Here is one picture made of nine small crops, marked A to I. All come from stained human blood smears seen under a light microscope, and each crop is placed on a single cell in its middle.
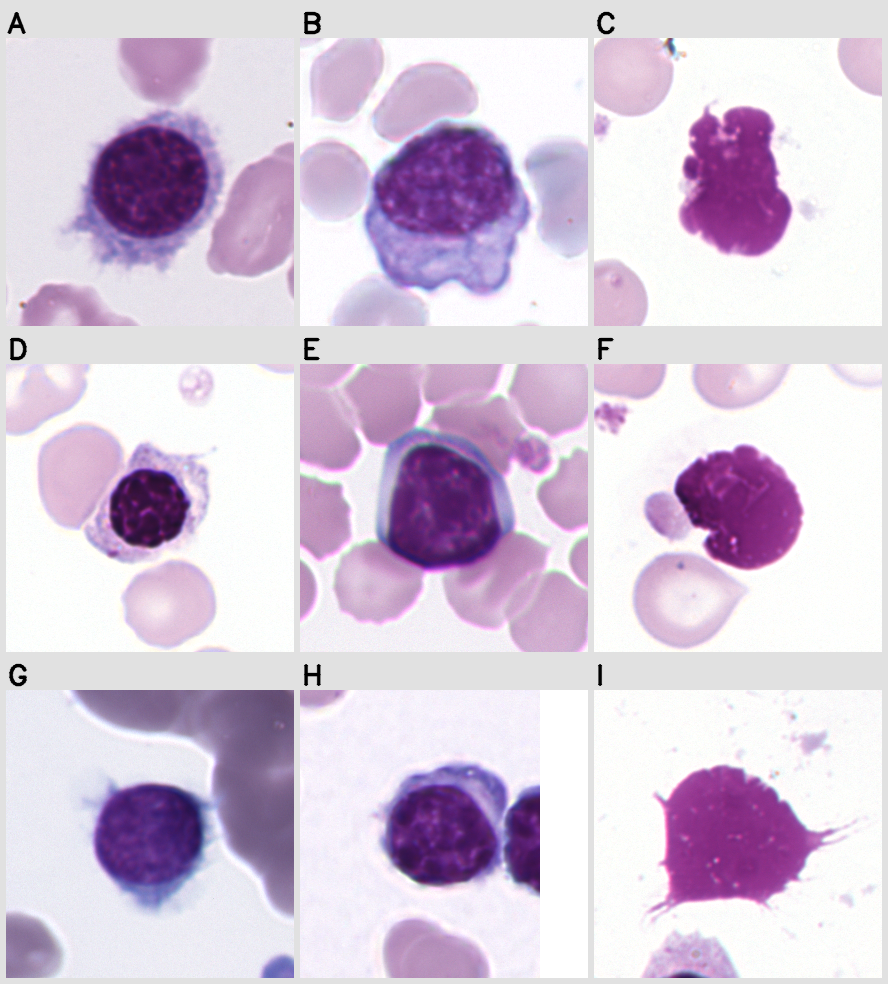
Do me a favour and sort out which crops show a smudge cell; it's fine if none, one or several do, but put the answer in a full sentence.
For crops C, F and I, the central cells are smudge cells.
